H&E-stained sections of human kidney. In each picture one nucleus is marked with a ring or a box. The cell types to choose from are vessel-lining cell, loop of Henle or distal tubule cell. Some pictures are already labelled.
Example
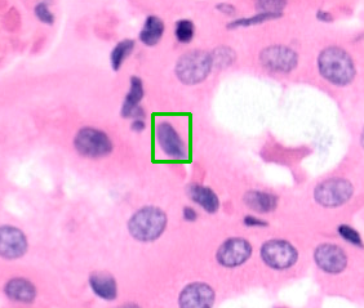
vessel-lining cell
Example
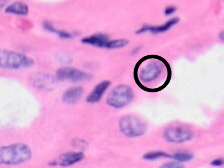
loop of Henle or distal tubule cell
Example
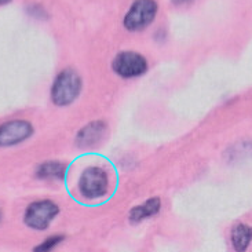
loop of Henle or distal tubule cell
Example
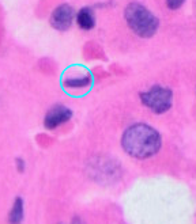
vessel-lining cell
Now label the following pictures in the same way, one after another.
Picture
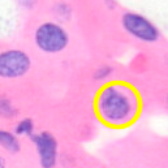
loop of Henle or distal tubule cell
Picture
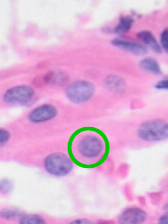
loop of Henle or distal tubule cell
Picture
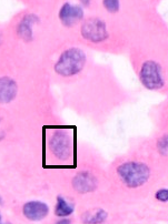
loop of Henle or distal tubule cell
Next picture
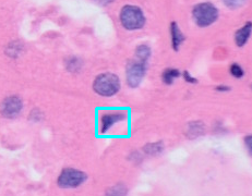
vessel-lining cell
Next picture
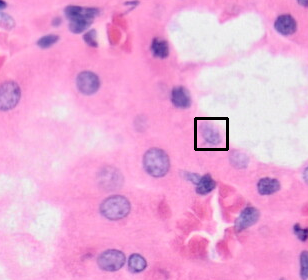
loop of Henle or distal tubule cell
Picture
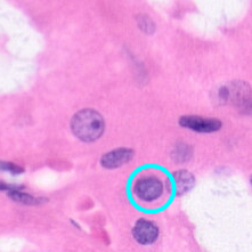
loop of Henle or distal tubule cell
